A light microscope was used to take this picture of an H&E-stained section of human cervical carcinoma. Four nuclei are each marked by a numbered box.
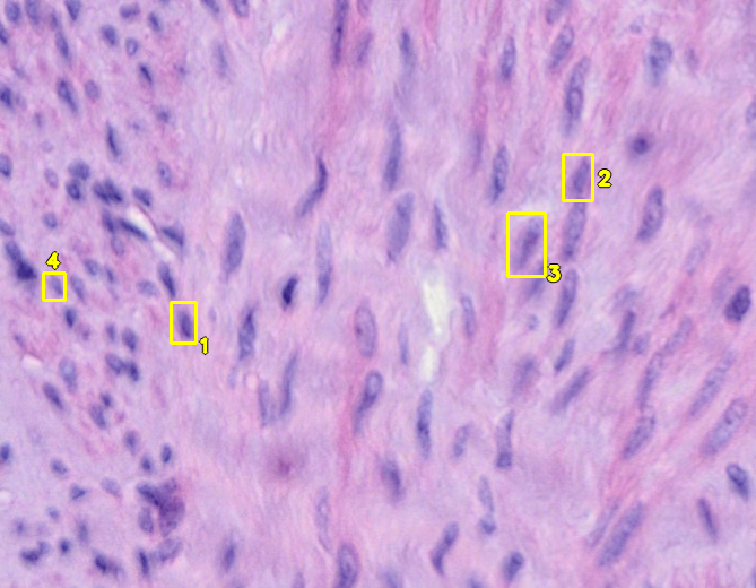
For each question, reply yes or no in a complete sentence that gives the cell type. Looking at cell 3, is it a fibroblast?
No, rather than a fibroblast, cell number 3 is a smooth muscle cell.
